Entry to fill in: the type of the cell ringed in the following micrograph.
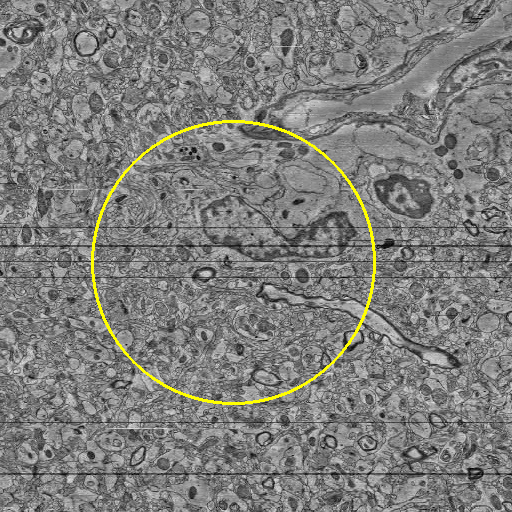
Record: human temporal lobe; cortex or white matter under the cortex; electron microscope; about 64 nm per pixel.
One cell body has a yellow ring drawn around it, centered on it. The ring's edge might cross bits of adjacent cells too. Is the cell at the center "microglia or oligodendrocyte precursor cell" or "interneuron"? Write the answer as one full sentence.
This entry names a microglial cell or oligodendrocyte precursor cell as the cell whose body lies at the ring's center.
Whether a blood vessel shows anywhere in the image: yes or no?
Yes, a vessel shows somewhere in the image.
